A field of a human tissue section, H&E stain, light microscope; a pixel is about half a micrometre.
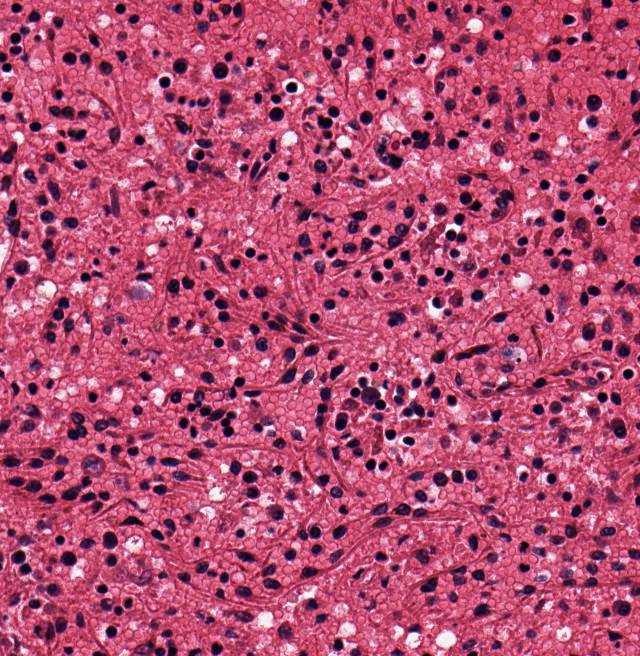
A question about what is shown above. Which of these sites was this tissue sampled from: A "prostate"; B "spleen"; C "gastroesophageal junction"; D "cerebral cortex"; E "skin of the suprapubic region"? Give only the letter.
B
